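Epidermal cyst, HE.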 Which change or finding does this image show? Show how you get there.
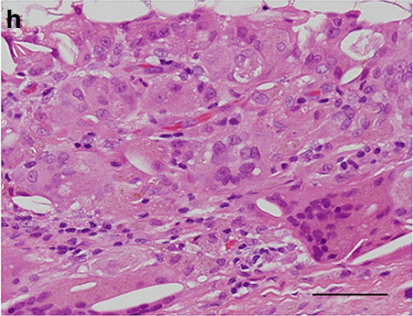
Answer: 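Large cells with abundant pink cytoplasm, some with several nuclei. Elongated empty clefts lie among the large cells.
Answer: foreign body granuloma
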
